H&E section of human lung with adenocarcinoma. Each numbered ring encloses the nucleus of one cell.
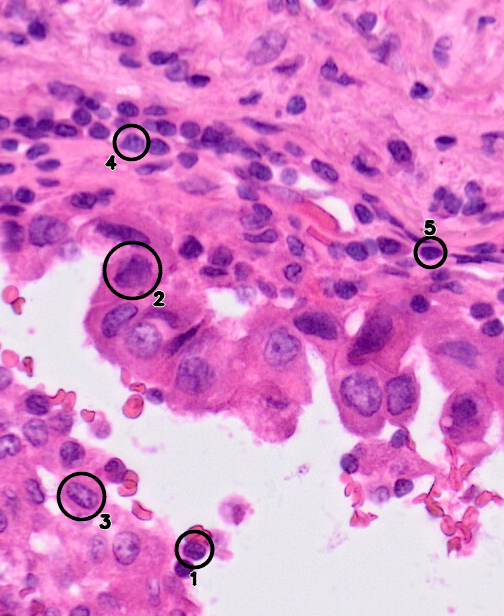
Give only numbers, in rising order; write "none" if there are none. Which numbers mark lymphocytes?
1, 4, 5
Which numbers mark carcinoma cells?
2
